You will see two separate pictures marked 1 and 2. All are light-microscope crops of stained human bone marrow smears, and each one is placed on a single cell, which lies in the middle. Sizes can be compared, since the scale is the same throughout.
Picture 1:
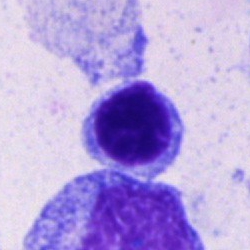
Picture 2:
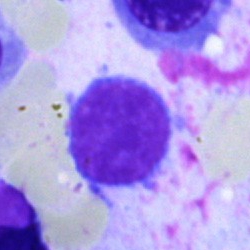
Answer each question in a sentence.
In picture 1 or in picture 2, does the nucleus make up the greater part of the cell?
The nucleus fills more of the cell in picture 2 than in picture 1.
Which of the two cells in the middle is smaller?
Picture 1 holds the smaller cell, since the cell in picture 2 covers about 1.5 times as much area.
